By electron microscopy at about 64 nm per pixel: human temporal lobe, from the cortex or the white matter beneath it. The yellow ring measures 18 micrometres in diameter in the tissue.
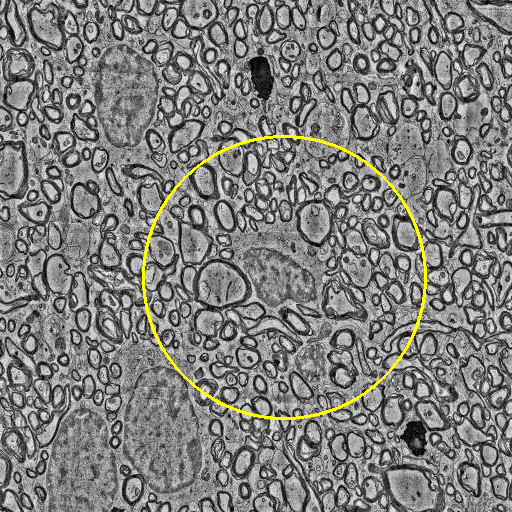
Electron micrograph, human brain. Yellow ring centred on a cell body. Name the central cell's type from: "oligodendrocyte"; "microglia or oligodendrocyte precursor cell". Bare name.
oligodendrocyte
